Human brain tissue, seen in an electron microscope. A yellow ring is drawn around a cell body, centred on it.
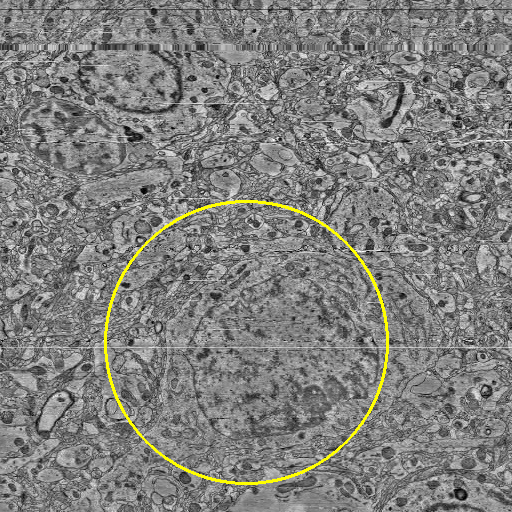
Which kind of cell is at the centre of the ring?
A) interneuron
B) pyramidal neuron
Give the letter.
A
